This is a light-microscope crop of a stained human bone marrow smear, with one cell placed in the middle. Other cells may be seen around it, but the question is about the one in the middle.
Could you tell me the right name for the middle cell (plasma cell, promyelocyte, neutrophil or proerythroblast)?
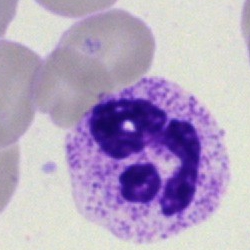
neutrophil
